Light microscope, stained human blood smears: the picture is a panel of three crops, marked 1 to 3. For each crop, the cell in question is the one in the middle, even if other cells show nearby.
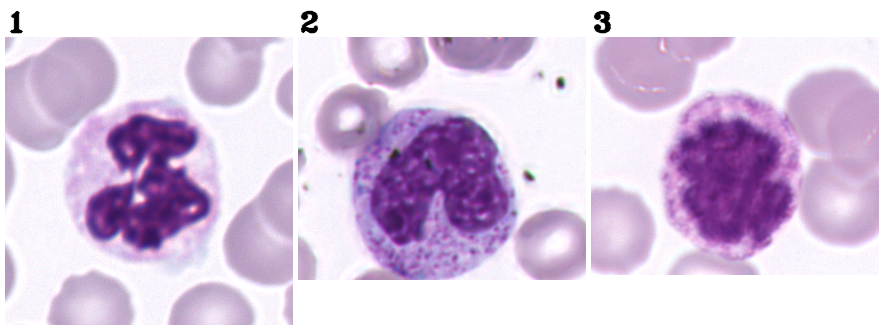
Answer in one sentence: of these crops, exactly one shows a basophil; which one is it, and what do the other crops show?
The cell of interest in crop 3 is a basophil, and crop 1 is a segmented neutrophil and crop 2 is a band neutrophil.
